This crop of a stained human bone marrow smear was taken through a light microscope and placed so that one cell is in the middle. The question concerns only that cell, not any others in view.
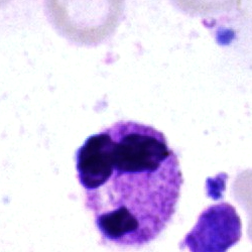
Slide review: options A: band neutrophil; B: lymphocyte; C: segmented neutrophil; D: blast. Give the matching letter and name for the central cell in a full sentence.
What sits in the middle of the crop is a segmented neutrophil, and option C is correct.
